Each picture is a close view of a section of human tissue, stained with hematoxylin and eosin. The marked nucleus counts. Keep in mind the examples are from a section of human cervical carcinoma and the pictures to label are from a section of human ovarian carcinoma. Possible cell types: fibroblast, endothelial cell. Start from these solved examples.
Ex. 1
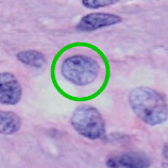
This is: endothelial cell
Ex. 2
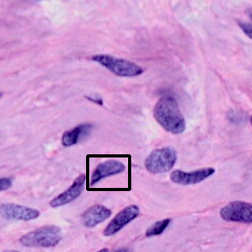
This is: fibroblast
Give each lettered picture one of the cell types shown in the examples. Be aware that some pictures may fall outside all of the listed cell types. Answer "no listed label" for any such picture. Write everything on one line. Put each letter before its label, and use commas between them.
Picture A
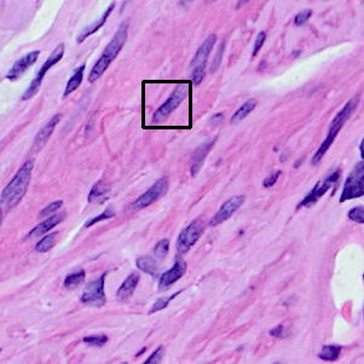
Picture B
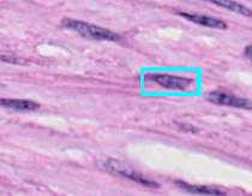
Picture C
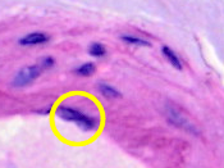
A no listed label, B fibroblast, C endothelial cell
